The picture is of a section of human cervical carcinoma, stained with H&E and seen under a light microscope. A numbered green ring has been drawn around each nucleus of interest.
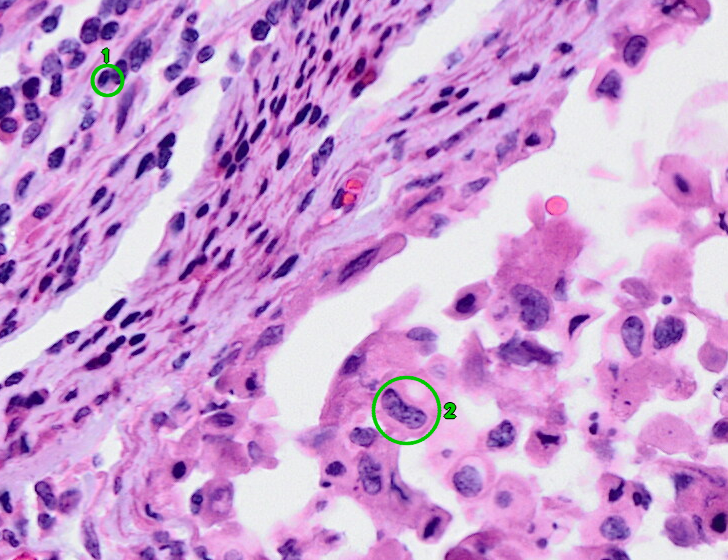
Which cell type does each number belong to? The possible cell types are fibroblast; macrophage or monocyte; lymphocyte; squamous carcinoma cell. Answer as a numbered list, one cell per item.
1. lymphocyte
2. squamous carcinoma cell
